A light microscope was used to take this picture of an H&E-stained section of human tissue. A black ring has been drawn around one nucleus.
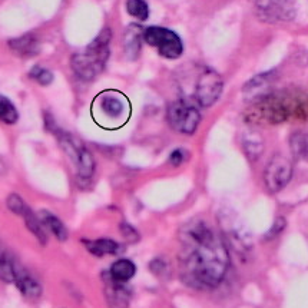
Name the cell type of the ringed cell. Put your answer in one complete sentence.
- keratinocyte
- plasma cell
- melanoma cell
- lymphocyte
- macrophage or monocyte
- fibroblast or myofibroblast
Right, so the ringed cell is a lymphocyte, to answer that.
